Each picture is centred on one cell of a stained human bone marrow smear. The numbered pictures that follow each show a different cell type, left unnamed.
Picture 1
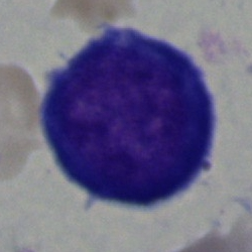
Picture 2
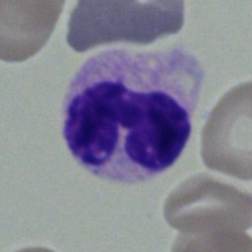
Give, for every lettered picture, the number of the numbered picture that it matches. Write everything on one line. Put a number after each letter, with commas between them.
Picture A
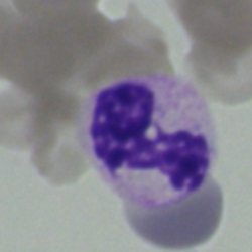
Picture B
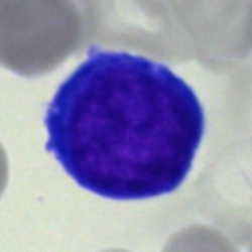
A 2, B 1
